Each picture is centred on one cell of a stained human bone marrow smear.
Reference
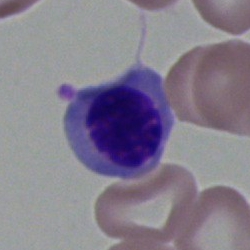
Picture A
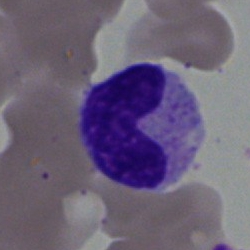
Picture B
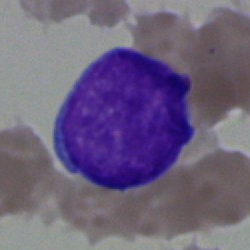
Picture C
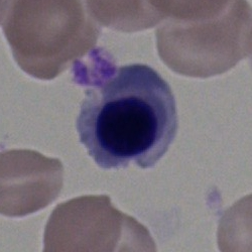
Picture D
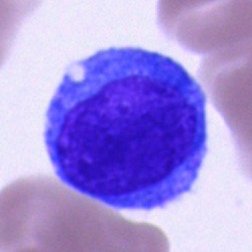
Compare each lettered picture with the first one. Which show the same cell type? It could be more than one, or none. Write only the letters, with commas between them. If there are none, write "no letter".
C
